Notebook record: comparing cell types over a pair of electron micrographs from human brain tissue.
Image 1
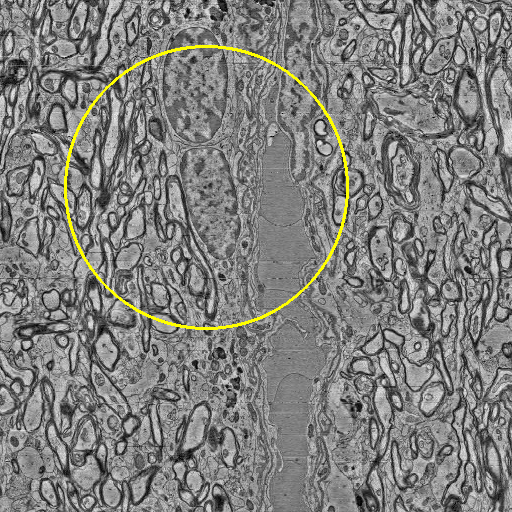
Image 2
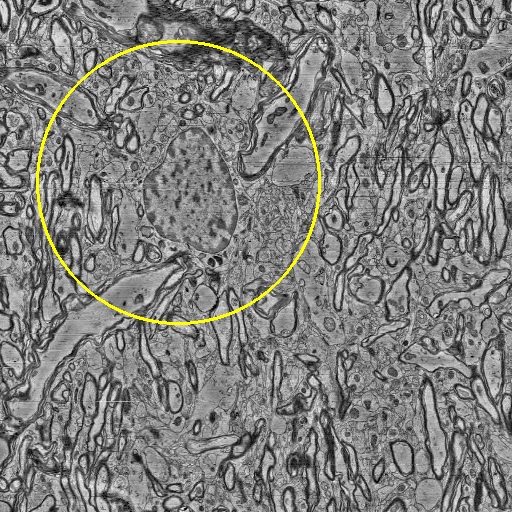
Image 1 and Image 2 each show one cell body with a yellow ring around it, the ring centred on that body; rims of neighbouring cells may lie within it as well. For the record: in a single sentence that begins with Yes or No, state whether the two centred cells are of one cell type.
Yes, one cell type is shared by the centred cells of Image 1 and Image 2.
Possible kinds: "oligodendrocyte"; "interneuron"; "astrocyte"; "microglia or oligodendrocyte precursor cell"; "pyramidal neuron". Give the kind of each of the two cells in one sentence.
Each cell at the centre of a ring is a microglial cell or oligodendrocyte precursor cell.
